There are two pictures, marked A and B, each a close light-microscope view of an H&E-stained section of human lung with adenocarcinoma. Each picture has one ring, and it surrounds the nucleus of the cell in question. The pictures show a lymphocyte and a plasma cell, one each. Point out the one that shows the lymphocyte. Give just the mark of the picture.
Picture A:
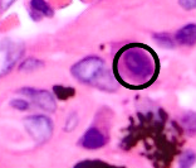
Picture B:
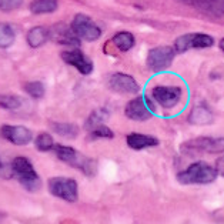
B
